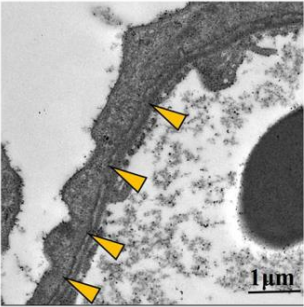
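Along the outer side of the dense basement membrane the podocyte cytoplasm forms a broad, continuous flattened layer without discrete foot processes or slits. The capillary lumen contains loose flocculent material and a dark, homogeneous round body at the right.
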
